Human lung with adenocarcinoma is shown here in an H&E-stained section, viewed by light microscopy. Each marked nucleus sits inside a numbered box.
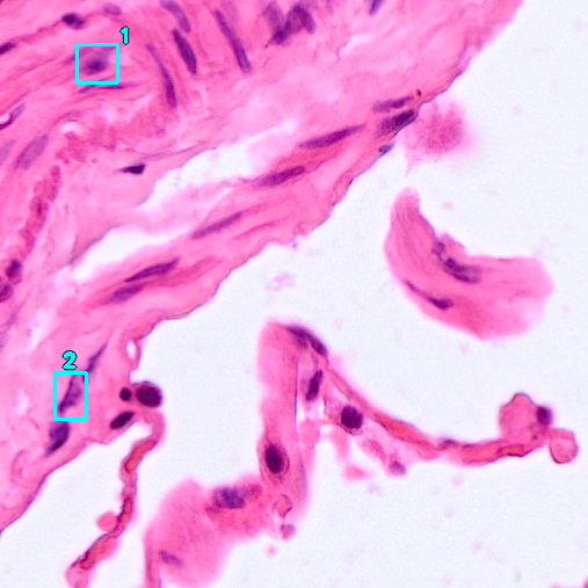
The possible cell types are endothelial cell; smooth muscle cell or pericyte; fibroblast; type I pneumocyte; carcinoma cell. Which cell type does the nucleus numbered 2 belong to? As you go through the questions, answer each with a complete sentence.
The cell with the number 2 is a fibroblast.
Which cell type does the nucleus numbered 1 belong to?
The identity of cell 1 is that of a smooth muscle cell or pericyte.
